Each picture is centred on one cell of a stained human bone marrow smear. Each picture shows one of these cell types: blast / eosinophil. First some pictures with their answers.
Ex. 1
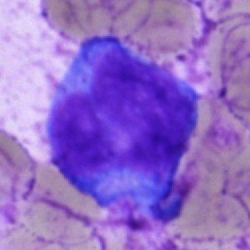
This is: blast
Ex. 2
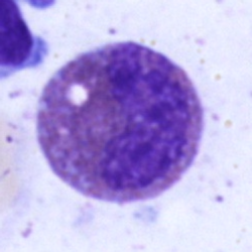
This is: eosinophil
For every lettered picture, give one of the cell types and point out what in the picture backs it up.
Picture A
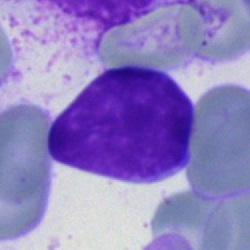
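blast. The chromatin is finely textured with small paler spots rather than coarse dark clumps.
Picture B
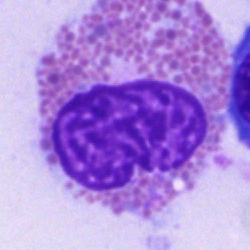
eosinophil. The chromatin is coarsely clumped, with paler streaks running between the dark masses.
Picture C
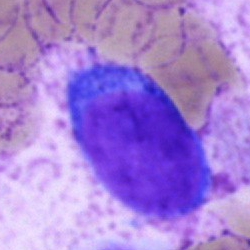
blast. The cytoplasm forms a scant rim that is widest at the upper-left end of the cell.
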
